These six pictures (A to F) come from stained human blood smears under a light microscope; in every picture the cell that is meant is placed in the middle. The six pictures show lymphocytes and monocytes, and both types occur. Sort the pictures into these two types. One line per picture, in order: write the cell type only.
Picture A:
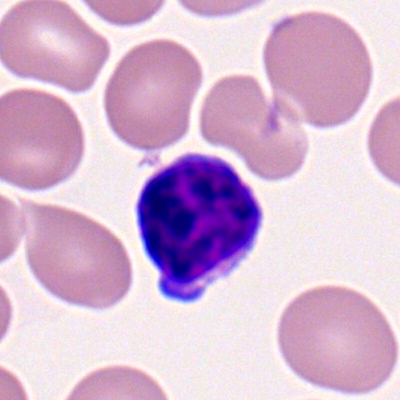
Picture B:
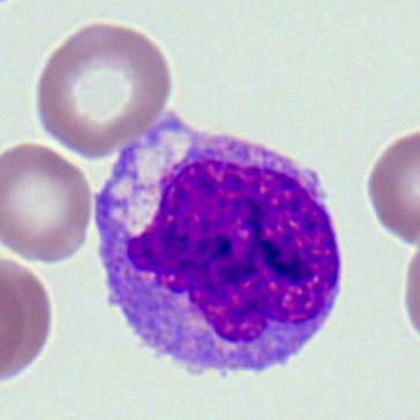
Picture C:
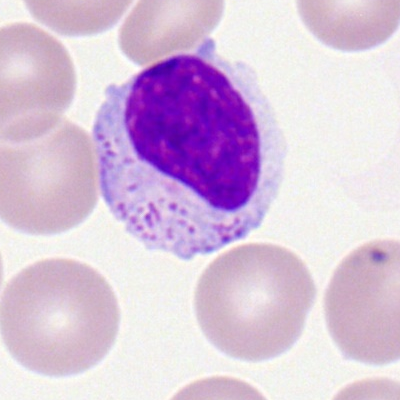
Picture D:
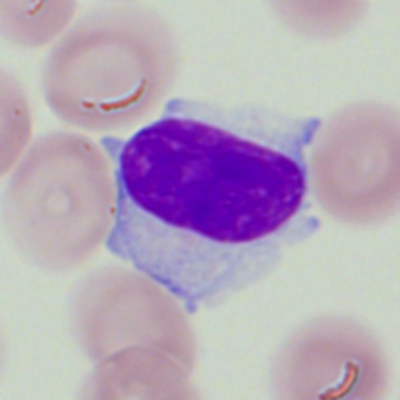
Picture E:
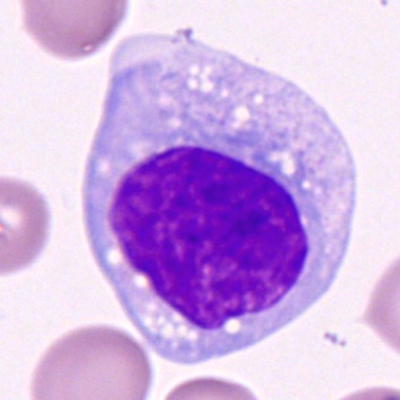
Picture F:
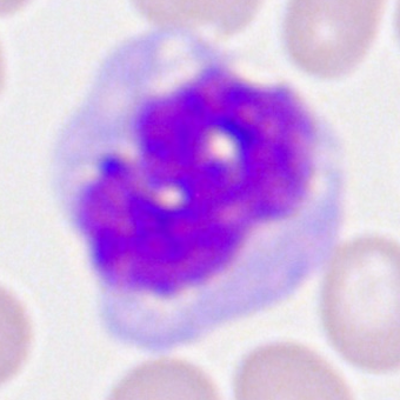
lymphocyte
monocyte
lymphocyte
lymphocyte
monocyte
monocyte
